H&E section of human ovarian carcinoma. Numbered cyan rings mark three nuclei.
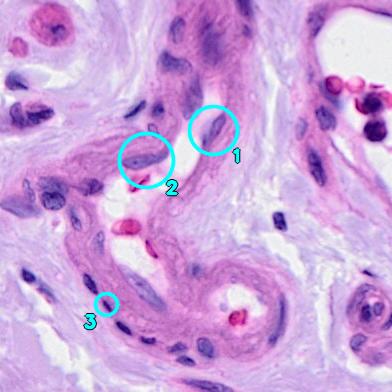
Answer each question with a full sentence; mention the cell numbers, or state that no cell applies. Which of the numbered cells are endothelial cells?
Cells 1 and 2 are classified as endothelial cells.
